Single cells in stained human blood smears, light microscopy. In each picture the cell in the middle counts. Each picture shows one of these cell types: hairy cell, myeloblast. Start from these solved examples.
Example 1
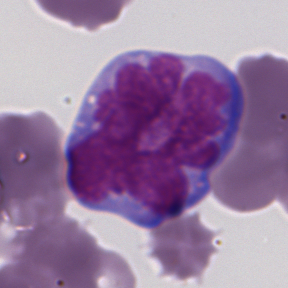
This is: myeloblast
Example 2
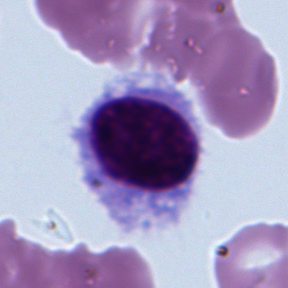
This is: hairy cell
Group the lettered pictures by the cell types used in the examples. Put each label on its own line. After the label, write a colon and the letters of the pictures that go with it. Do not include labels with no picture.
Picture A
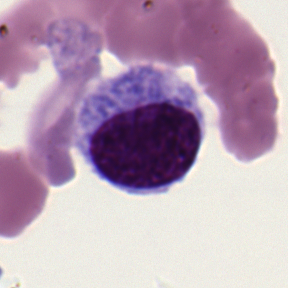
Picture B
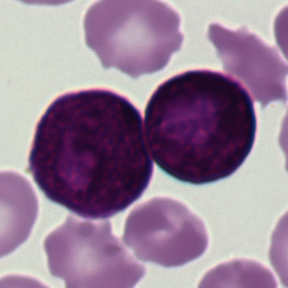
hairy cell: A
myeloblast: B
